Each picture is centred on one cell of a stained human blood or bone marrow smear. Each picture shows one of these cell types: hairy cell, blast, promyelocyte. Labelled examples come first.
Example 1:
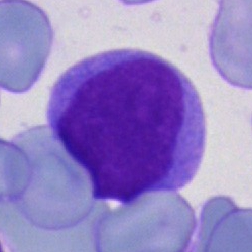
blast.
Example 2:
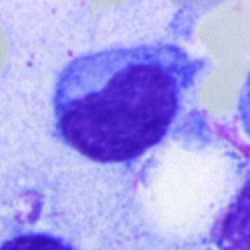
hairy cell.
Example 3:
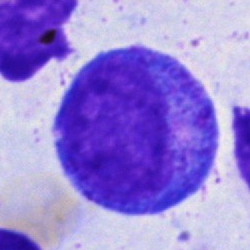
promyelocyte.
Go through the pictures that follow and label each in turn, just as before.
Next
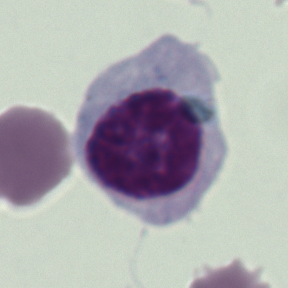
hairy cell.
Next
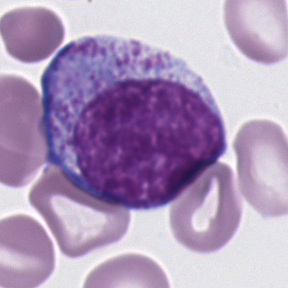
promyelocyte.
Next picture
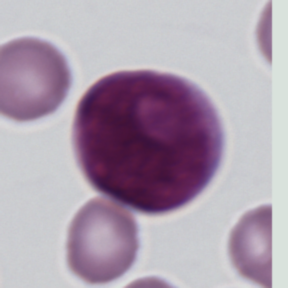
blast.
